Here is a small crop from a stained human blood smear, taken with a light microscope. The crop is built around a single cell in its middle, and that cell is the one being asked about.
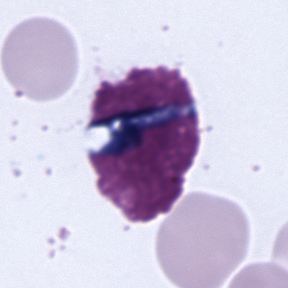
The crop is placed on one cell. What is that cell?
smudge cell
